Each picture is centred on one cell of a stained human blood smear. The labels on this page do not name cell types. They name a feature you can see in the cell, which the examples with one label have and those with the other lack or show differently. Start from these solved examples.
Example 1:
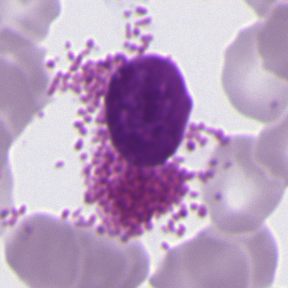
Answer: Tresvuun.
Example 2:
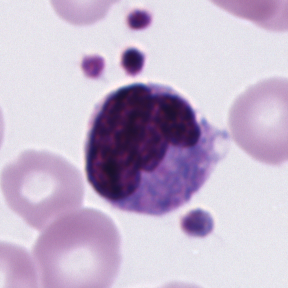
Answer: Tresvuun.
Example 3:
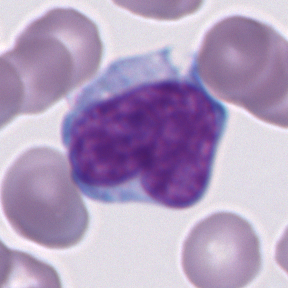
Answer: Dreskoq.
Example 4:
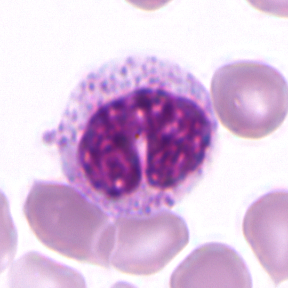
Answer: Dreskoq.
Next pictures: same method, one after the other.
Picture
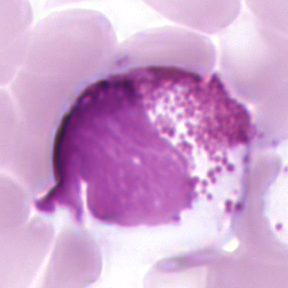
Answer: Tresvuun.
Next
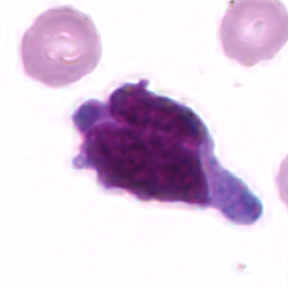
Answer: Dreskoq.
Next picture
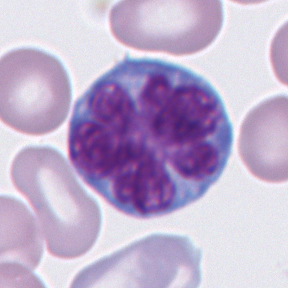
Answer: Dreskoq.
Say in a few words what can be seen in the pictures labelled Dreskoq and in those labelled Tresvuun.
Dreskoq: lobed nucleus; Tresvuun: single compact nucleus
